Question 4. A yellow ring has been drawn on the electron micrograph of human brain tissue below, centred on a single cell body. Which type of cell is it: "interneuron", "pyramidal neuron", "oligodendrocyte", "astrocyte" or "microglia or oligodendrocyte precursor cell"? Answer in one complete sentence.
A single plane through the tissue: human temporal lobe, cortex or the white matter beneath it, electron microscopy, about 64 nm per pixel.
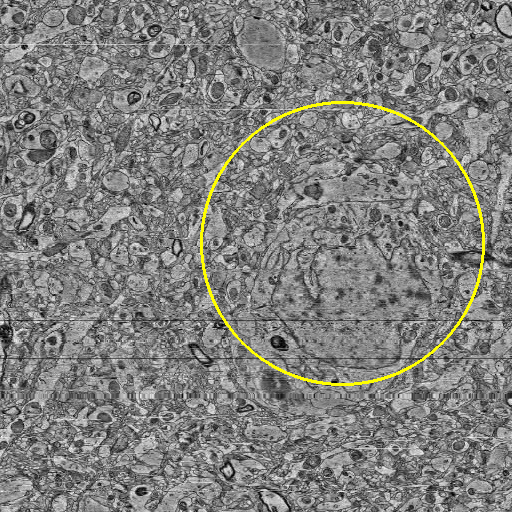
This cell body belongs to an interneuron.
